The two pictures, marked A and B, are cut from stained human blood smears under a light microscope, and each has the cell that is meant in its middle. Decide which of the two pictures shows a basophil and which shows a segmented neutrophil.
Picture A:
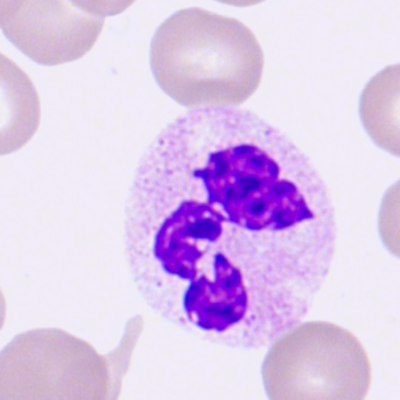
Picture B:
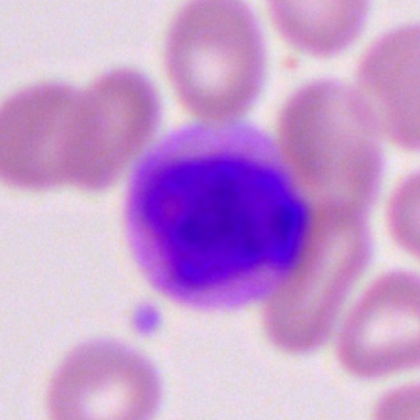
A: segmented neutrophil
B: basophil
